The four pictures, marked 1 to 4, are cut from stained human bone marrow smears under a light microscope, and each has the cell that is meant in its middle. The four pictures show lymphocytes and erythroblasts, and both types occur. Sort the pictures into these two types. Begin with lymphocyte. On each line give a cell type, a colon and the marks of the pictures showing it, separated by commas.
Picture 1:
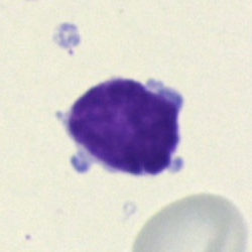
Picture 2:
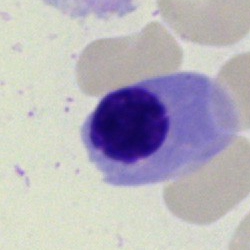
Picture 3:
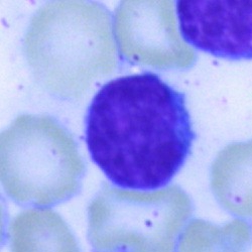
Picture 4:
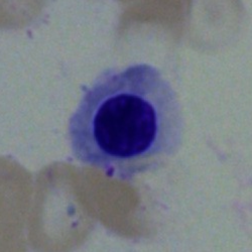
lymphocyte: 1, 3
erythroblast: 2, 4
